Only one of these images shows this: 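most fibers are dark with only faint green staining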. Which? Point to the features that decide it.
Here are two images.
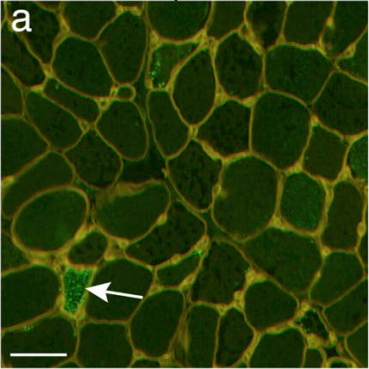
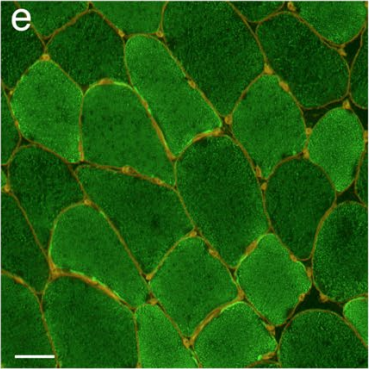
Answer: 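Second image: the fibers are filled with moderate to bright green granular staining. First image: nearly all fibers are dark inside, with only one small fiber brightly green. So: the first image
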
